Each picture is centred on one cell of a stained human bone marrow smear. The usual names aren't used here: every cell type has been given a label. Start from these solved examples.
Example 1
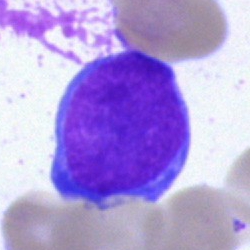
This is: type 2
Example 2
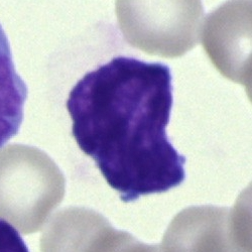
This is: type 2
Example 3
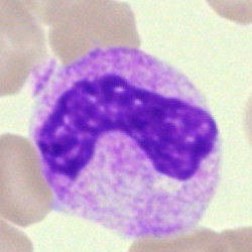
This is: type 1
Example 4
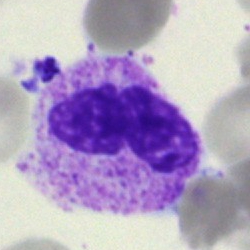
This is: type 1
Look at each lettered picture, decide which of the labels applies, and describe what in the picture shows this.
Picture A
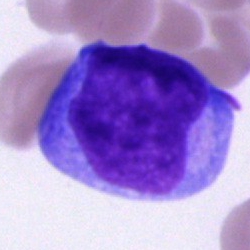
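type 2. The nucleus is large and irregular in outline, filling most of the cell.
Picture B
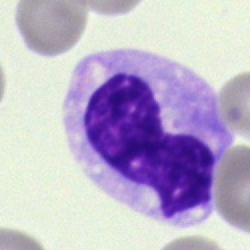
type 1. The cytoplasm is abundant and pale grey-lilac.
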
